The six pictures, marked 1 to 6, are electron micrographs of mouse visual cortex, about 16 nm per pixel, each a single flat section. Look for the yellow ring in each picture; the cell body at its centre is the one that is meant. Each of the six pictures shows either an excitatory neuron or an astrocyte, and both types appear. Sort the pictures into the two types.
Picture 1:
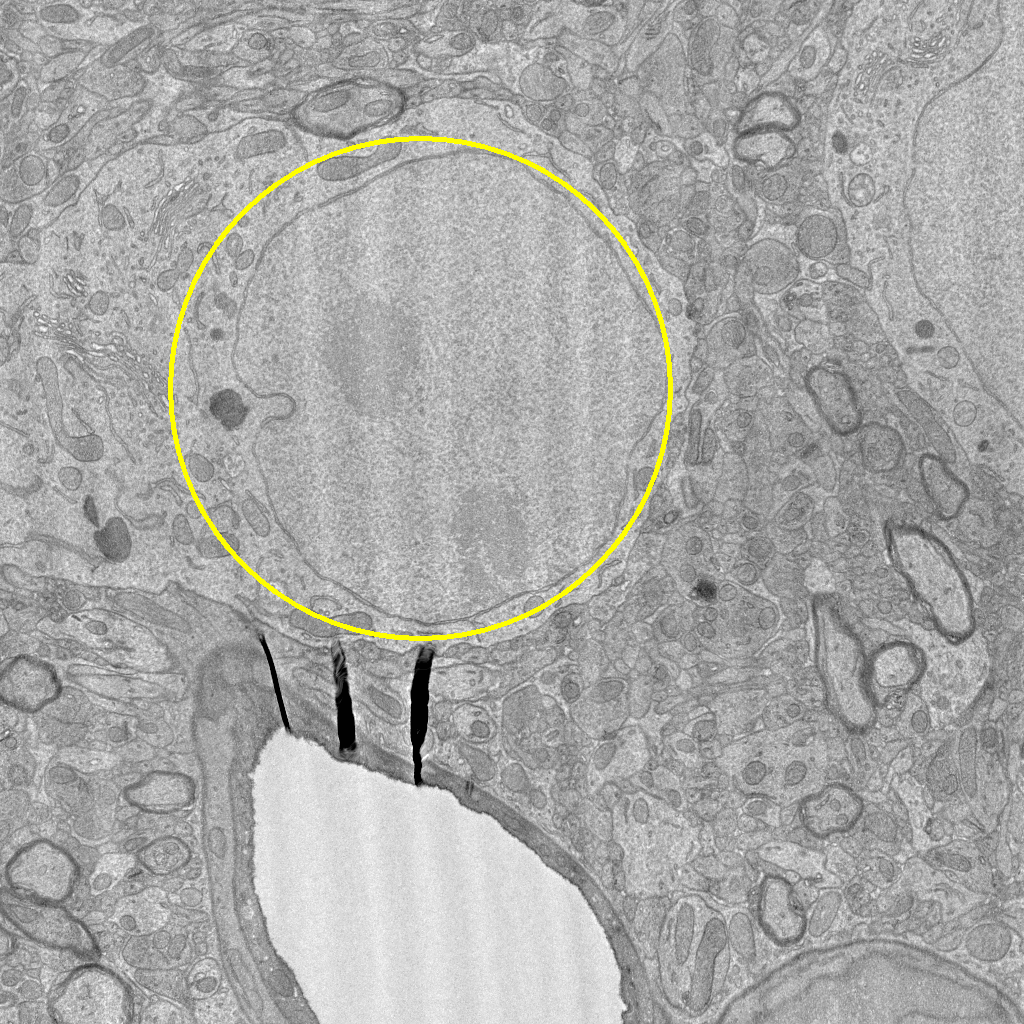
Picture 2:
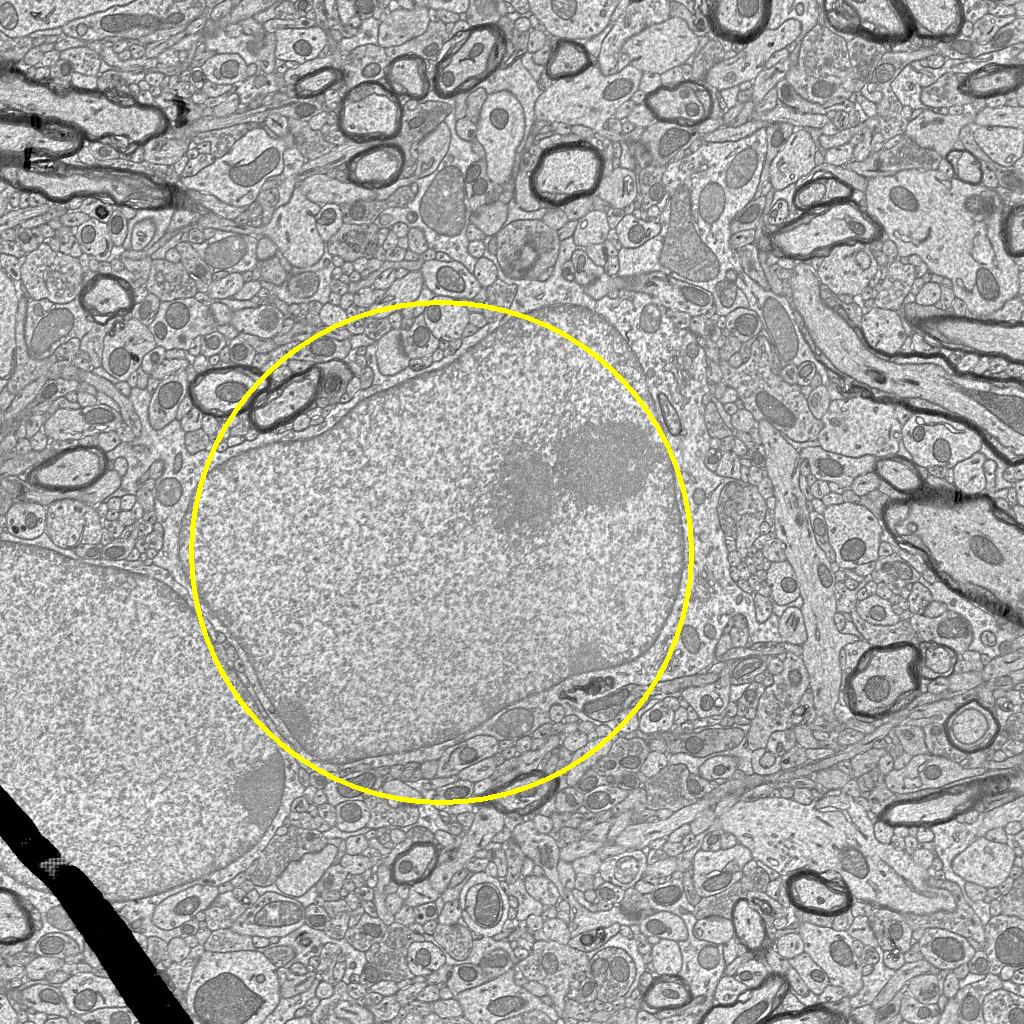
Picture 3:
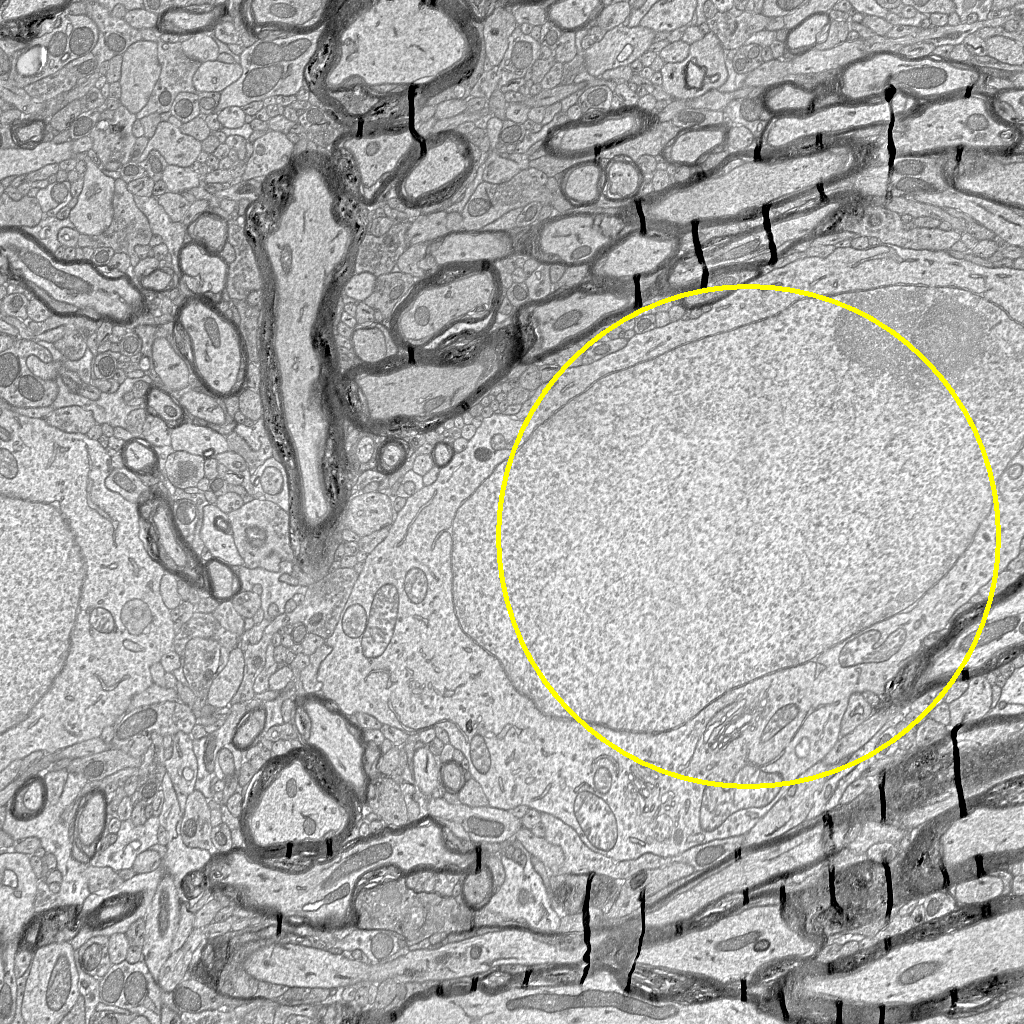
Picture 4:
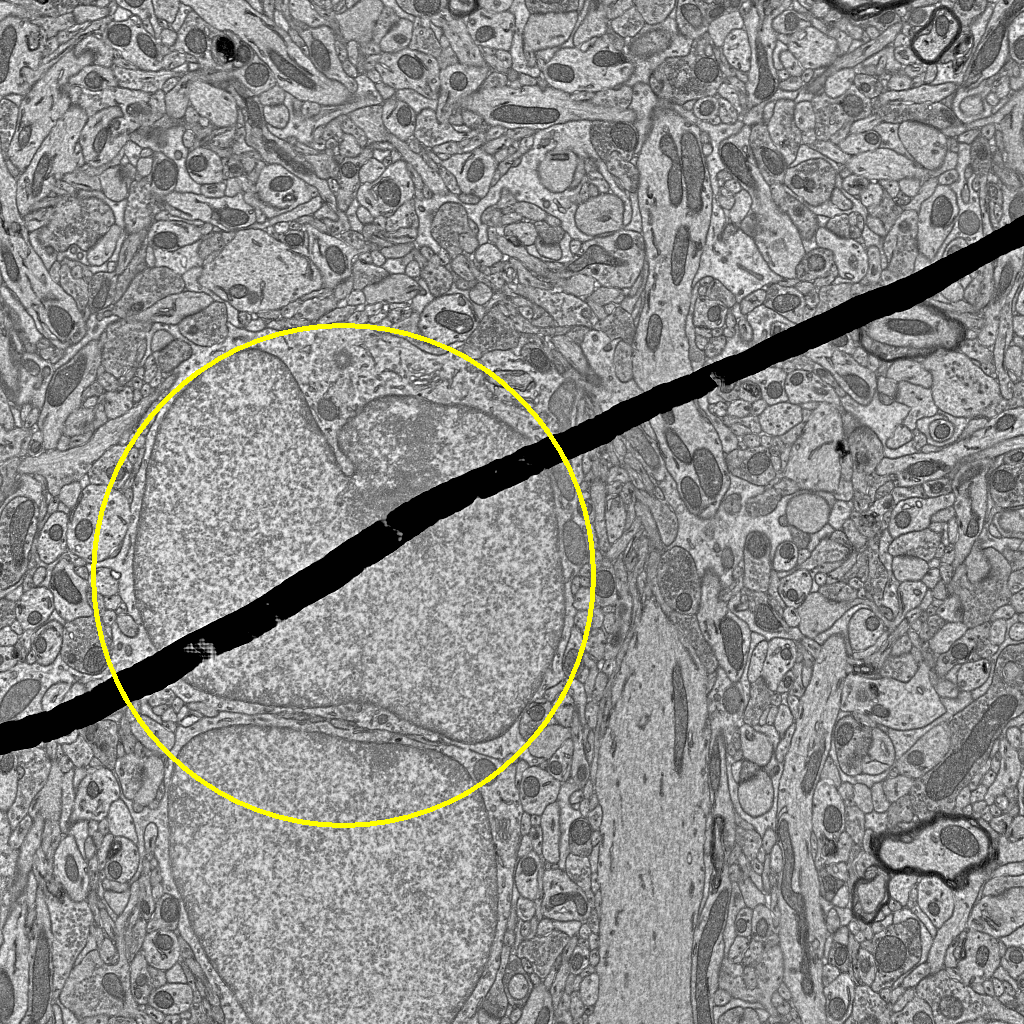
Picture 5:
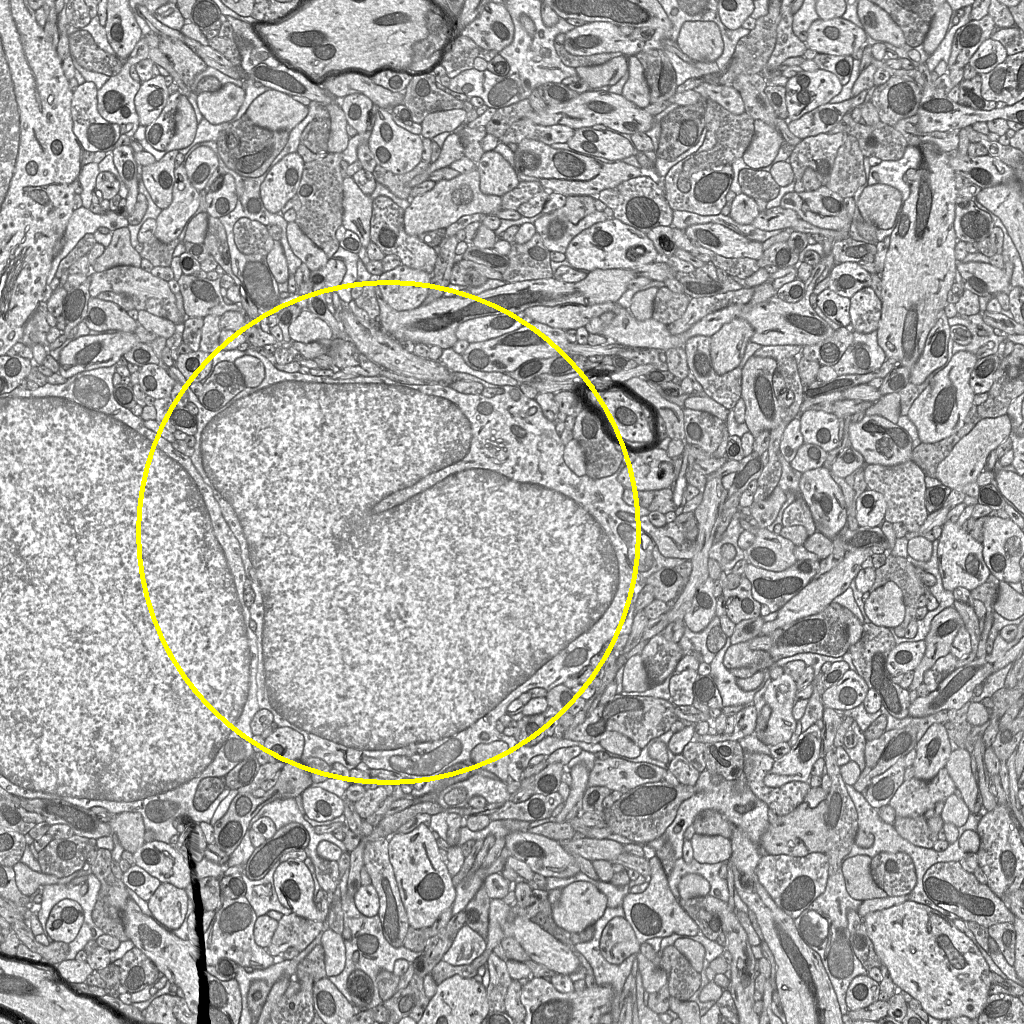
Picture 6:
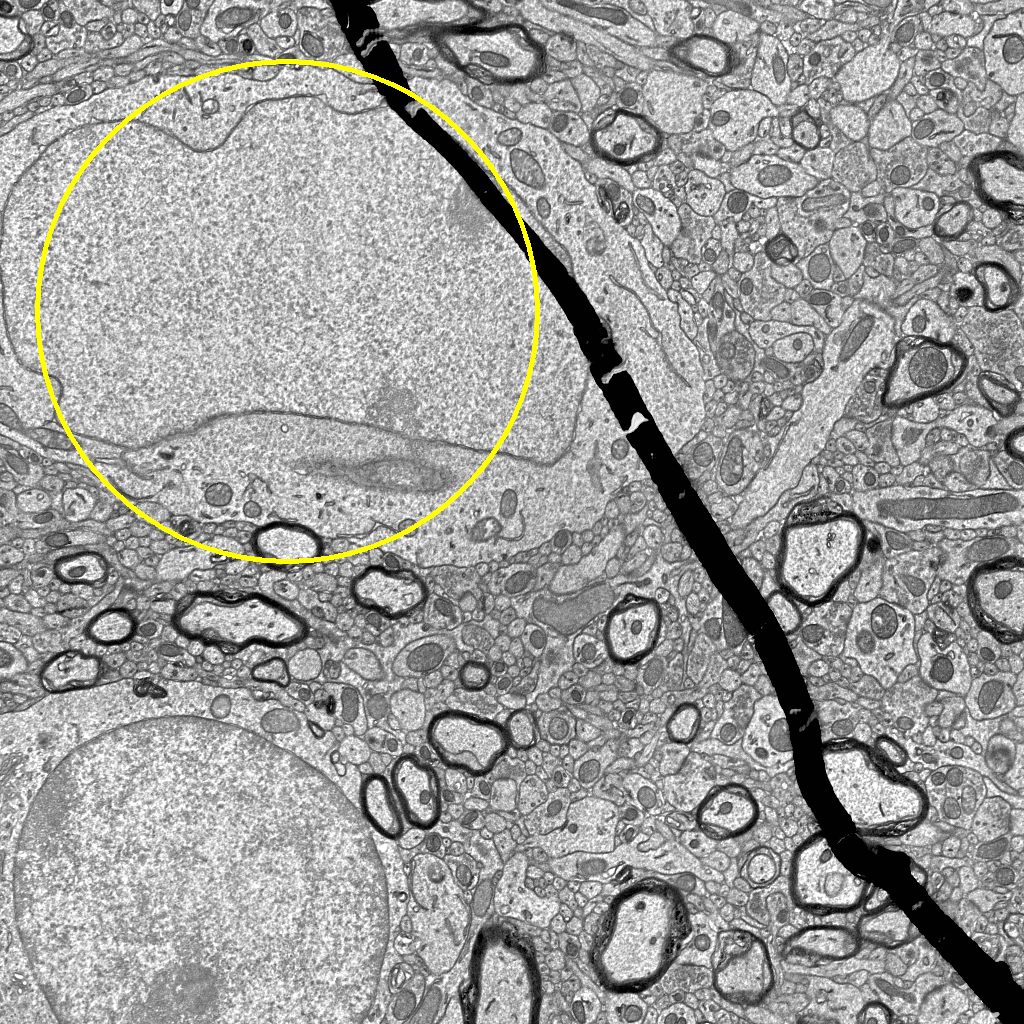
Pictures 1, 3 and 6 show excitatory neurons, while pictures 2, 4 and 5 show astrocytes.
